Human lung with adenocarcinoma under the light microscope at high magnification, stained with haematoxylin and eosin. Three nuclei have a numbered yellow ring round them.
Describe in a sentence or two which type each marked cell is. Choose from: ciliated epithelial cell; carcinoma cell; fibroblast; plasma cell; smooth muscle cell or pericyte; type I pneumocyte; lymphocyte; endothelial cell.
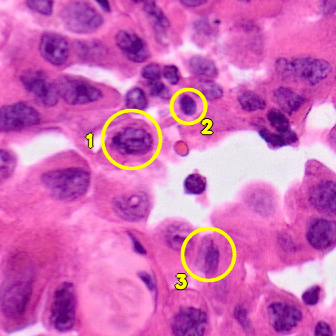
Cells 1 and 3 are carcinoma cells. Cell 2 is a lymphocyte.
